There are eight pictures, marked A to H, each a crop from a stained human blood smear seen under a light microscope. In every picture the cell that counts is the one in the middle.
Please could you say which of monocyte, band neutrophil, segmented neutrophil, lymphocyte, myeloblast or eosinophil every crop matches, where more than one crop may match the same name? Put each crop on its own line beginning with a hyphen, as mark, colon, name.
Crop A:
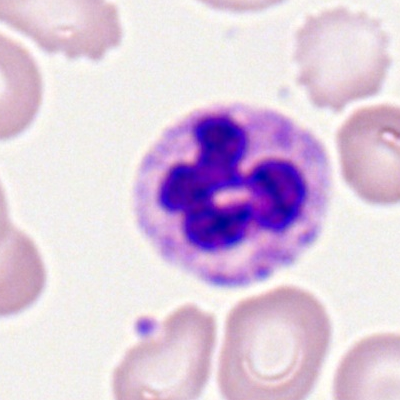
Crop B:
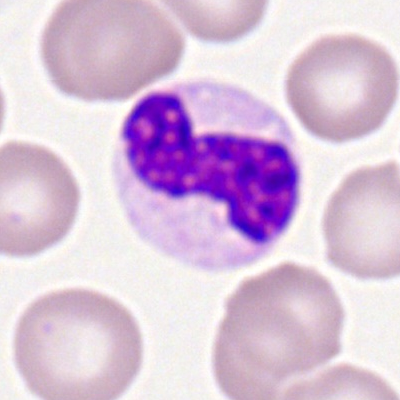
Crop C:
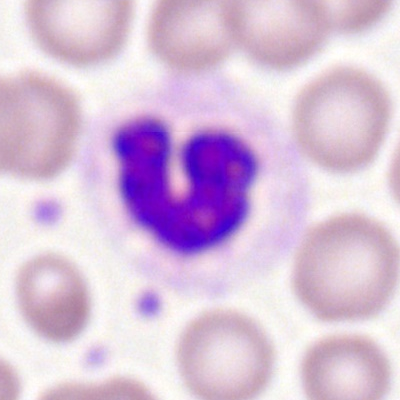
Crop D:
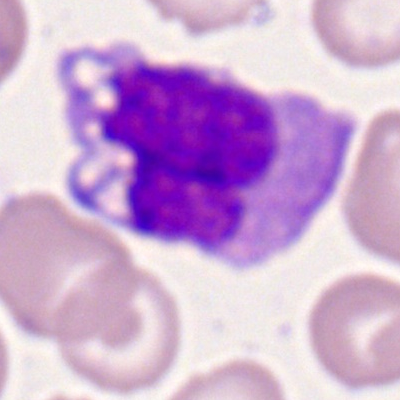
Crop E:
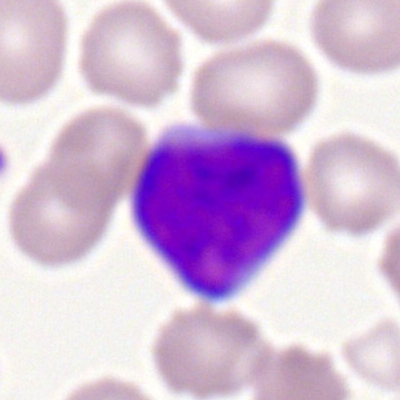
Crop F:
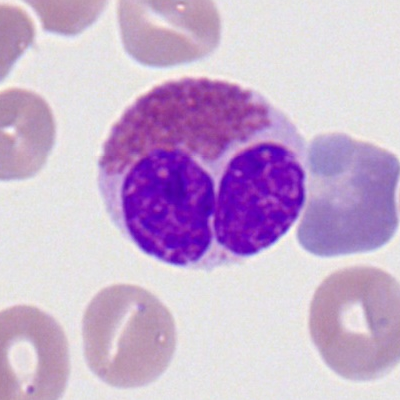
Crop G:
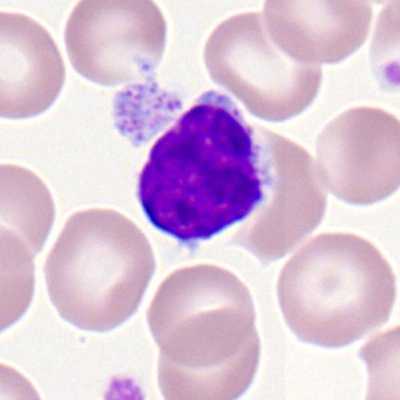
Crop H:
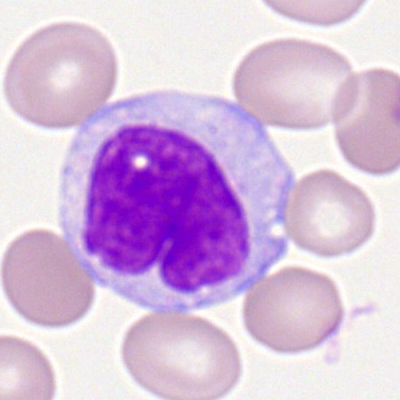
- A: segmented neutrophil
- B: band neutrophil
- C: band neutrophil
- D: monocyte
- E: myeloblast
- F: eosinophil
- G: lymphocyte
- H: monocyte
